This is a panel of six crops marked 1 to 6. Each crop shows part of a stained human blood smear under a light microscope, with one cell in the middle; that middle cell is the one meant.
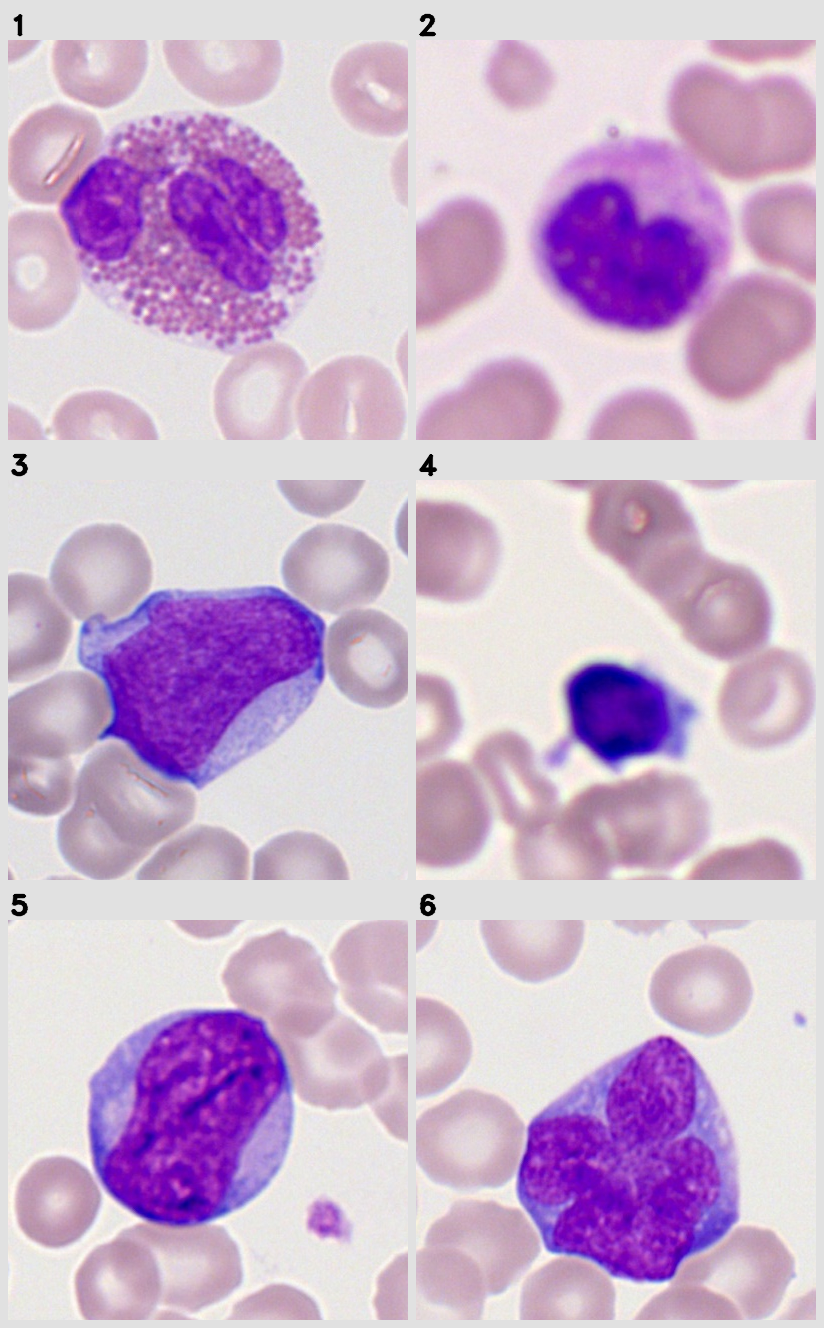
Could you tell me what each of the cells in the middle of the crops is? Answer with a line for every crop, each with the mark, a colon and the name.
1: eosinophil
2: band neutrophil
3: myeloblast
4: lymphocyte
5: myeloblast
6: myeloblast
